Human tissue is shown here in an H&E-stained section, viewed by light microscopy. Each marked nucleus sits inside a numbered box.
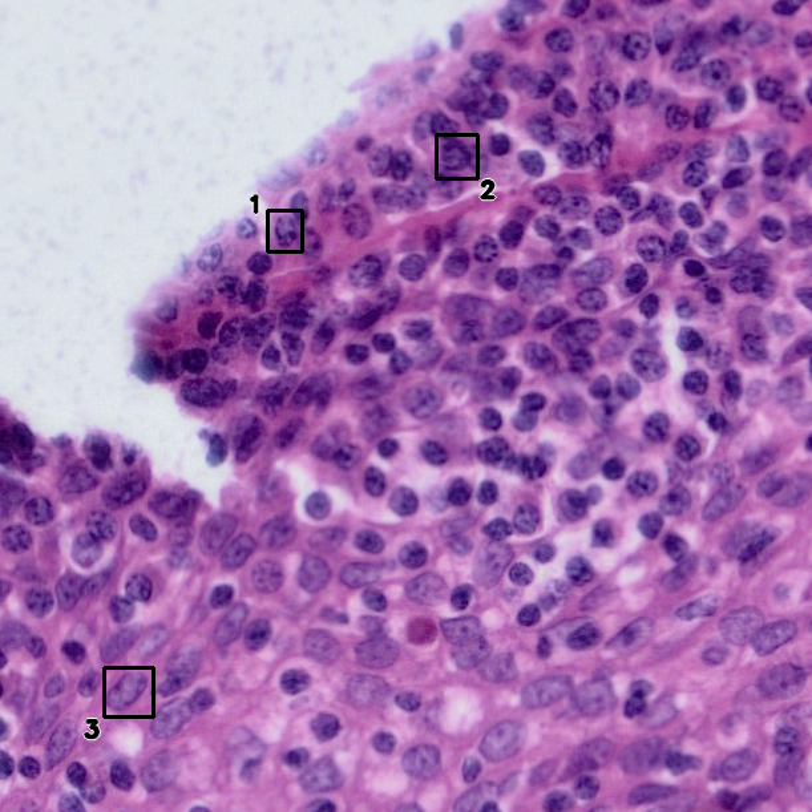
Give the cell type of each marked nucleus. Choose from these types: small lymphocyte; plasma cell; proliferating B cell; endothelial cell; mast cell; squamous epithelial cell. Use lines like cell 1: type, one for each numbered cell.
cell 1: plasma cell
cell 2: plasma cell
cell 3: squamous epithelial cell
